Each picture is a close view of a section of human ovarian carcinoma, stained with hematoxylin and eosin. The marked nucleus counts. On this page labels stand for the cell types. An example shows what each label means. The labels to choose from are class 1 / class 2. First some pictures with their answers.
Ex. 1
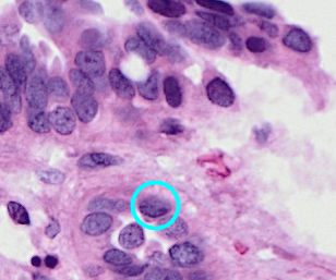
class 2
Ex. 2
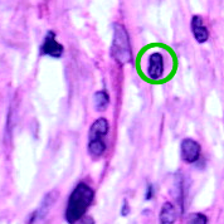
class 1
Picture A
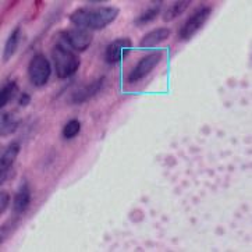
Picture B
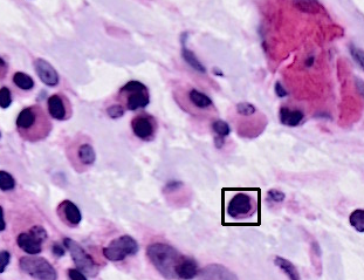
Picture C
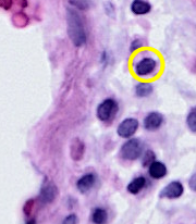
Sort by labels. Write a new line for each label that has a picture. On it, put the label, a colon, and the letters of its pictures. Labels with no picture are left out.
class 1: B, C
class 2: A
